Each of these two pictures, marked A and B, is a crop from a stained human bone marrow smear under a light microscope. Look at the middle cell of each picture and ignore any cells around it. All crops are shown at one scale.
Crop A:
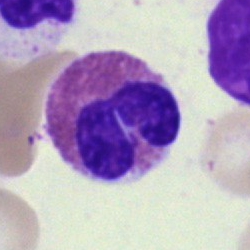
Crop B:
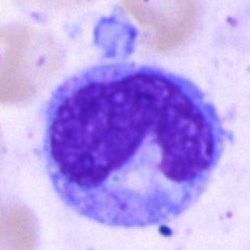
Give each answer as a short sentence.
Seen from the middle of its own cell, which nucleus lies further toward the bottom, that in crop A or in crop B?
Seen within its cell, the nucleus in crop A lies further toward the bottom.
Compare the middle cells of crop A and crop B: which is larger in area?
It is the cell in crop B, about 1.5 times as large in area as the cell in crop A.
